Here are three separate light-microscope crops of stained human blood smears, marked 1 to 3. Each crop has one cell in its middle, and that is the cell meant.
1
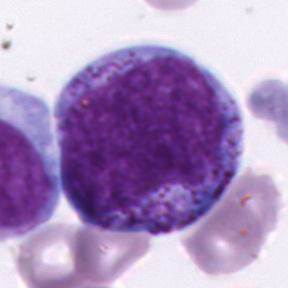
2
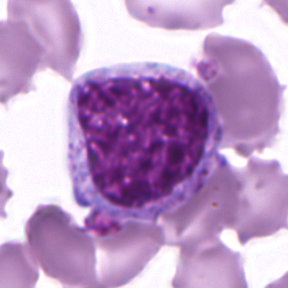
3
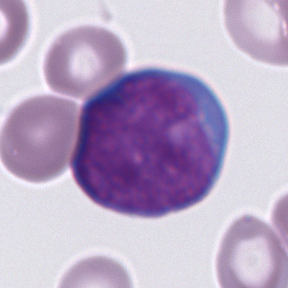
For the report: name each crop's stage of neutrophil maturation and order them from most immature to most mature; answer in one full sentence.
The order of the crops by rising maturity is crop 3 (a myeloblast), crop 1 (a promyelocyte) and crop 2 (a myelocyte).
